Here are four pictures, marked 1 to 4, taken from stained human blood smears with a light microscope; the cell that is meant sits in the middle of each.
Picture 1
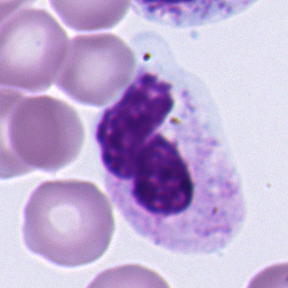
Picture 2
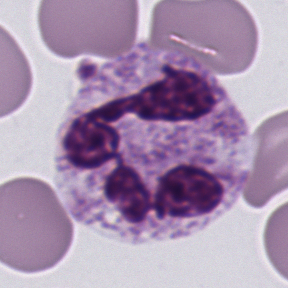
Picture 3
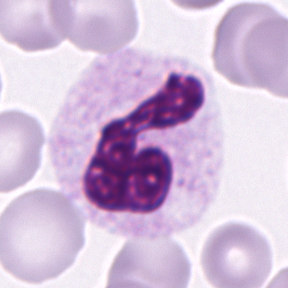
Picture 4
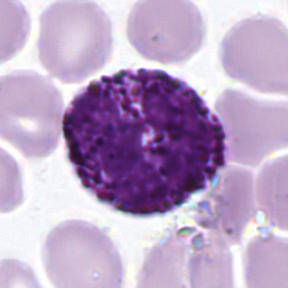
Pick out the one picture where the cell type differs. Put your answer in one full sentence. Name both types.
Picture 4 is the odd one out: it shows a basophil, while the others show segmented neutrophils.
